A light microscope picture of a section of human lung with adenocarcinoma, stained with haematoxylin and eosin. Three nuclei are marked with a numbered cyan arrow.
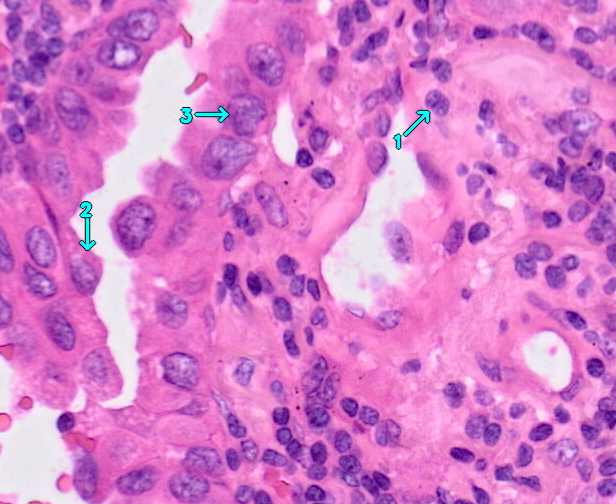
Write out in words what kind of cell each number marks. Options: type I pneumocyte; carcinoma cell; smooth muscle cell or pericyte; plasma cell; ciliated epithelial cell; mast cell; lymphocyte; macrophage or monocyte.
Cell 1 is a lymphocyte, cell 2 is a carcinoma cell and cell 3 is a carcinoma cell.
